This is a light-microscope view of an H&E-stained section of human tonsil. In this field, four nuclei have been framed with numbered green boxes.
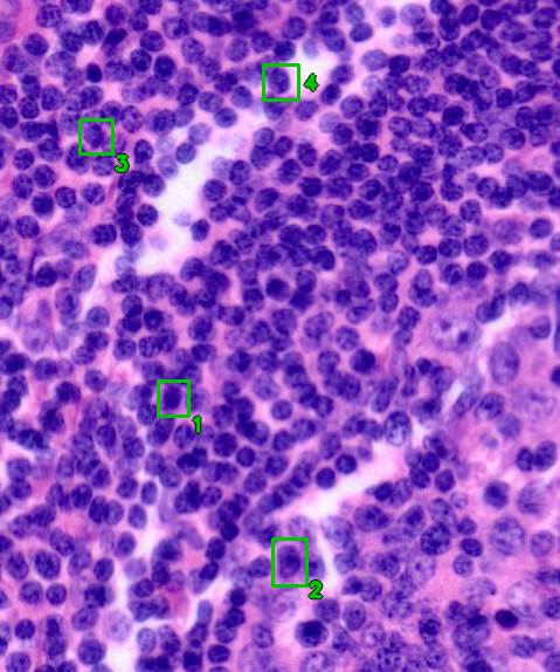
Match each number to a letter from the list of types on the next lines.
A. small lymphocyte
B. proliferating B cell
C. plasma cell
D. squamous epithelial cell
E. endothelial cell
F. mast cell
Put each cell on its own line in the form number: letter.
1: A
2: B
3: A
4: A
